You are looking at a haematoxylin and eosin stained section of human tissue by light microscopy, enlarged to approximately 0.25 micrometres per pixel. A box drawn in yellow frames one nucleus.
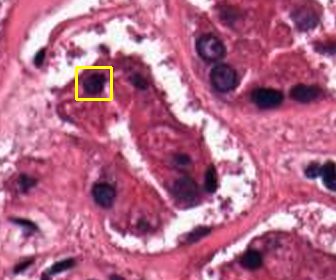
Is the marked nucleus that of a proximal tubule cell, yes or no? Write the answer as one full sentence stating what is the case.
Yes, the marked nucleus is located in a proximal tubule cell.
